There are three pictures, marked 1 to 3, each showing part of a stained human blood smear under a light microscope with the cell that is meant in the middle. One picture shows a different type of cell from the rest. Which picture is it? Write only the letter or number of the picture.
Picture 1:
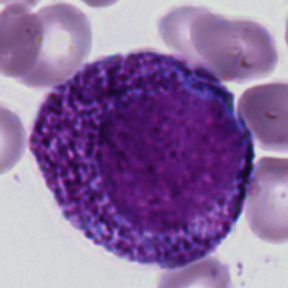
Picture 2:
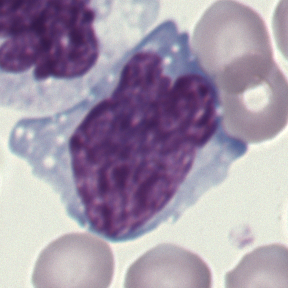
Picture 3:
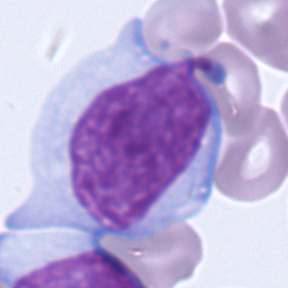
1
